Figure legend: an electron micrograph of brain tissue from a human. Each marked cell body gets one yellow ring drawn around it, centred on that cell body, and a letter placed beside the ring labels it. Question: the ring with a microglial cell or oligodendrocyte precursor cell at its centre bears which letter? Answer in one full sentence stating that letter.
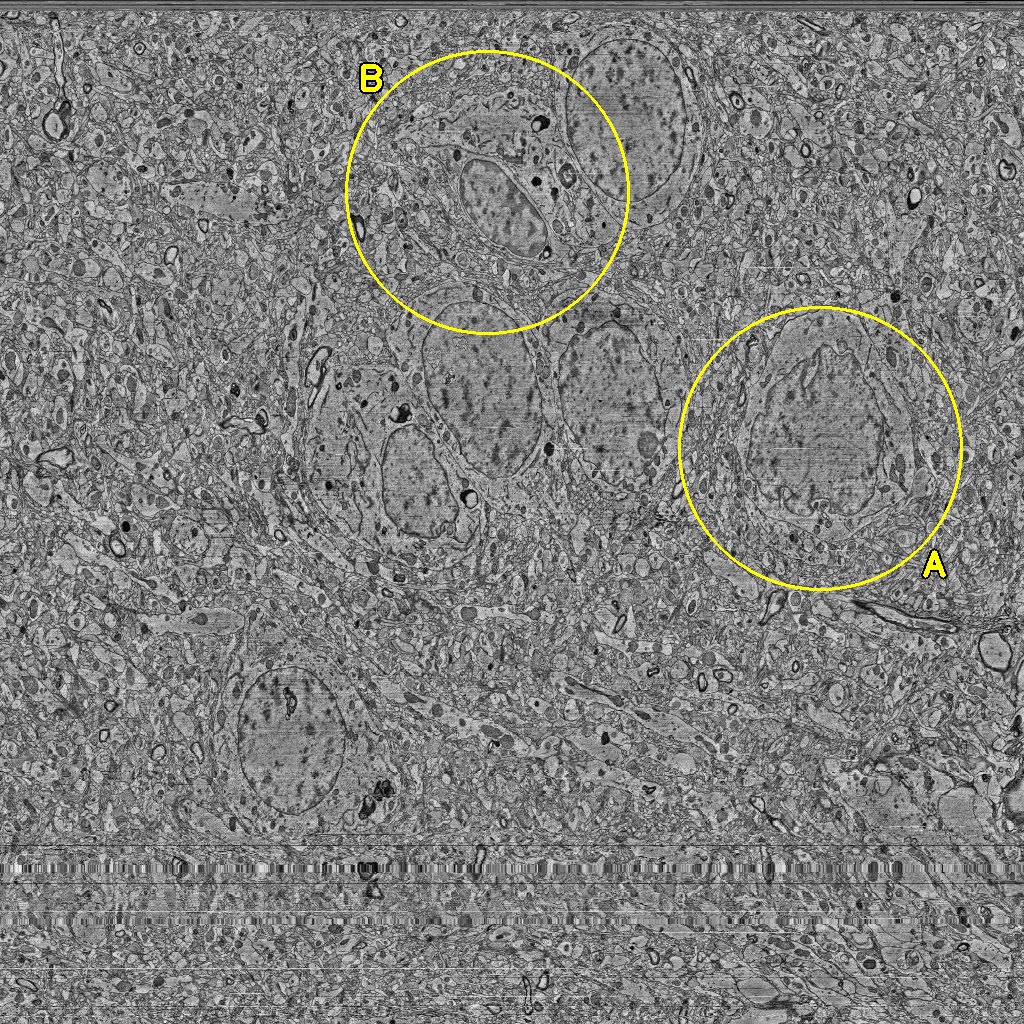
Labelled B is the ring whose centre holds the cell asked for in this picture.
